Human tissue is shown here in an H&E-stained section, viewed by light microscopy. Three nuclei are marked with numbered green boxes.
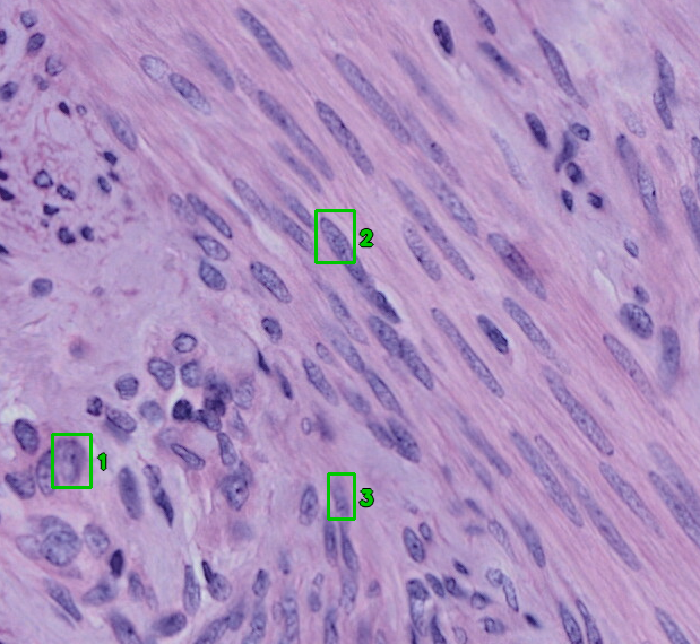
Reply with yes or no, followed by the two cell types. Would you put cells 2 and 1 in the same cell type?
No; cell 2 is a smooth muscle cell, and cell 1 is an endothelial cell.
